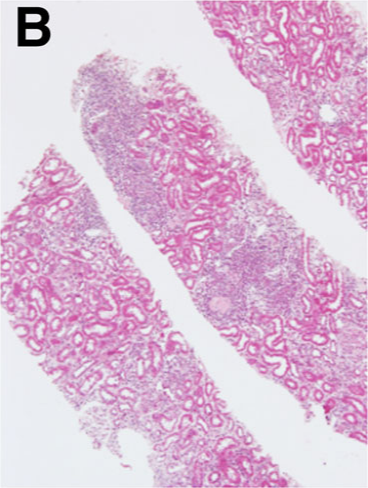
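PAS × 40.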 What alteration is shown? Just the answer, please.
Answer: Patchy and moderate-to-severe infiltration of mononuclear cells in the interstitium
